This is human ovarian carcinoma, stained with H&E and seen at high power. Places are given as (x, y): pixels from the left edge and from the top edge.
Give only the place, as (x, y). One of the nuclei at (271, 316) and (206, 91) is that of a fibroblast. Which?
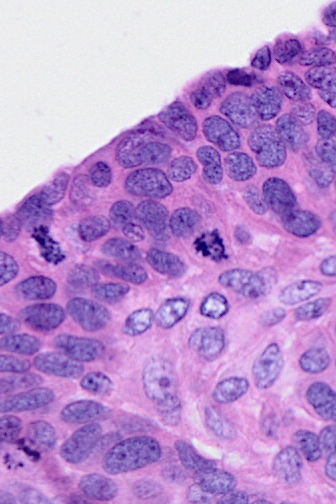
(271, 316)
